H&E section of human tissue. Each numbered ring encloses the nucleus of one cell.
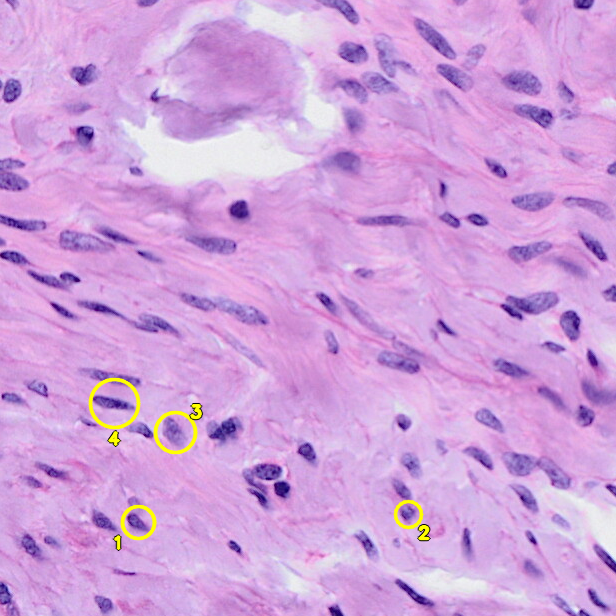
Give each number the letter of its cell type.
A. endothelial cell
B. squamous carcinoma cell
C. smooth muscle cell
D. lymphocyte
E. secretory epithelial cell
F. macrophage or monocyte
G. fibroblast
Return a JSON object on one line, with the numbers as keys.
{"1": "G", "2": "C", "3": "G", "4": "G"}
